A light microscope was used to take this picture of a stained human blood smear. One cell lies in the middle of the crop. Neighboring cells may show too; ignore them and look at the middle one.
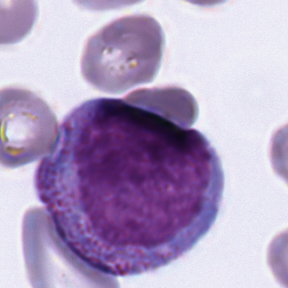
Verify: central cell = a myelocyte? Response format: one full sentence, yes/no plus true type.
No, the cell placed at the center is a promyelocyte rather than a myelocyte.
